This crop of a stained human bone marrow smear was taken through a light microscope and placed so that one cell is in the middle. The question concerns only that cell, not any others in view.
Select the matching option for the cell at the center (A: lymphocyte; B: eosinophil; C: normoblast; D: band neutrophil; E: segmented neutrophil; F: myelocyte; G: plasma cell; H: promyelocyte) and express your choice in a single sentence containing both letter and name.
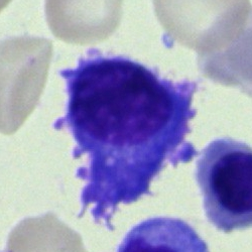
At the centre of the crop lies a plasma cell, which makes option G correct.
